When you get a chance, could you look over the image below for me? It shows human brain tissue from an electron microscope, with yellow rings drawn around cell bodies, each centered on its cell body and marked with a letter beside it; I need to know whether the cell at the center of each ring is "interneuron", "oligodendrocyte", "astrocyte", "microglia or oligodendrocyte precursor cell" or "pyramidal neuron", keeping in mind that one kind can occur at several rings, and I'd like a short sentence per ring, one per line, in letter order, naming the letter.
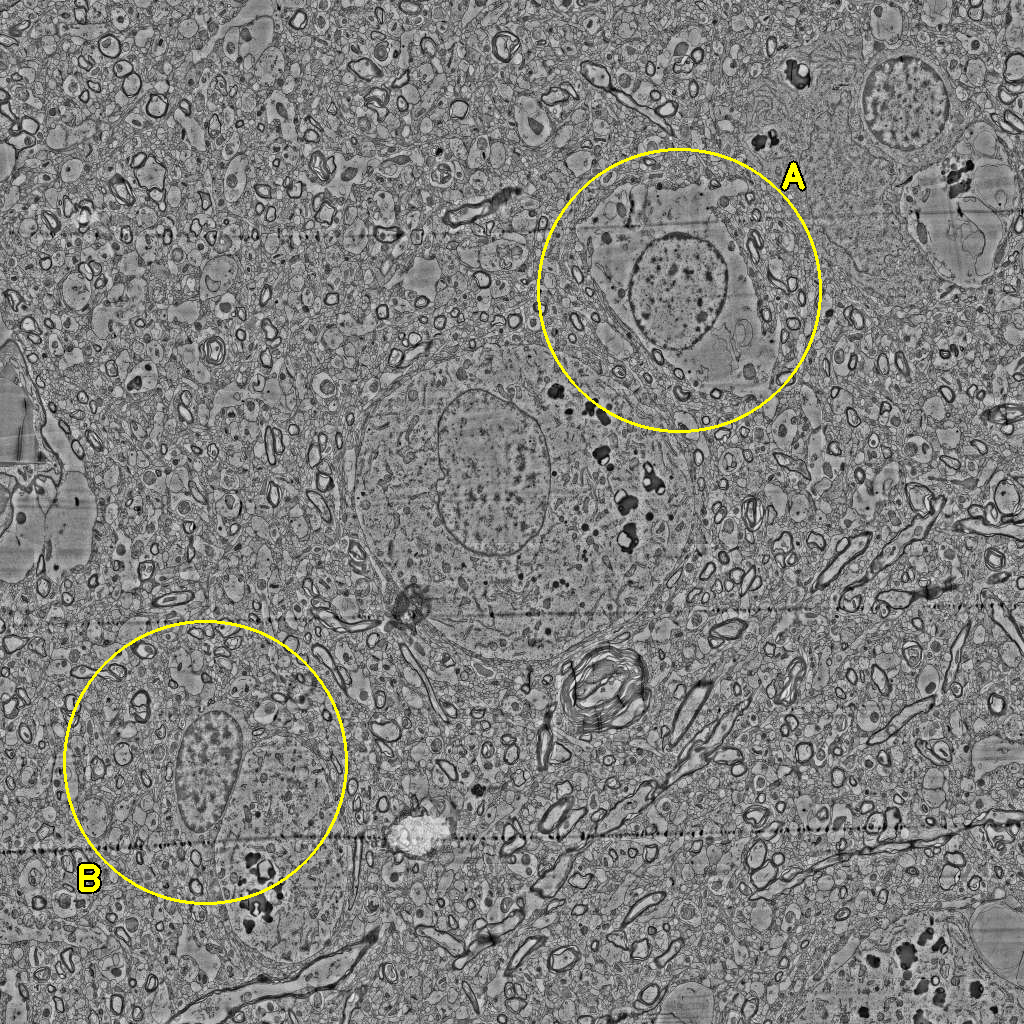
Ring A is centered on an astrocyte.
Ring B is centered on an oligodendrocyte.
